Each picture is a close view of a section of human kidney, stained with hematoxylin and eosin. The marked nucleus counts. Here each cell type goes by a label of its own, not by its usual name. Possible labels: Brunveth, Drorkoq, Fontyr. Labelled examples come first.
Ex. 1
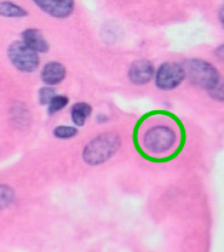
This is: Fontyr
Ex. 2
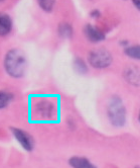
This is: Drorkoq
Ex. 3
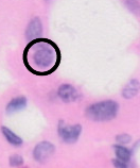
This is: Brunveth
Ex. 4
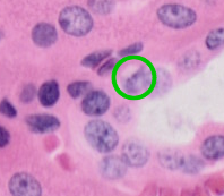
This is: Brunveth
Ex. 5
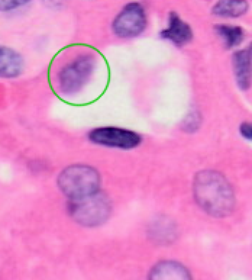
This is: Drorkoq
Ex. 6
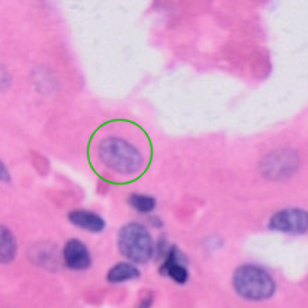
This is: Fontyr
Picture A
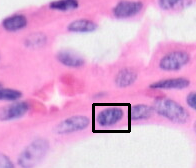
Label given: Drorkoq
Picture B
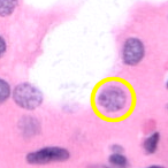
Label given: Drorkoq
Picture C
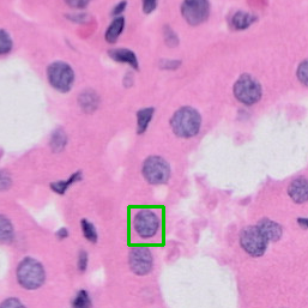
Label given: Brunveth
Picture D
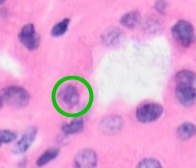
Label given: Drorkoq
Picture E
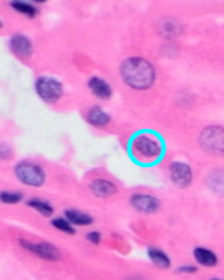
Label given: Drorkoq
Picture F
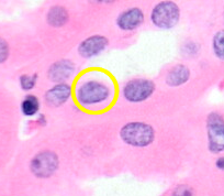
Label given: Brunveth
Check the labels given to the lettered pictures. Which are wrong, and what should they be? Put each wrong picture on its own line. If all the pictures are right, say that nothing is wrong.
A is labelled Drorkoq; correct label: Brunveth
C is labelled Brunveth; correct label: Drorkoq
